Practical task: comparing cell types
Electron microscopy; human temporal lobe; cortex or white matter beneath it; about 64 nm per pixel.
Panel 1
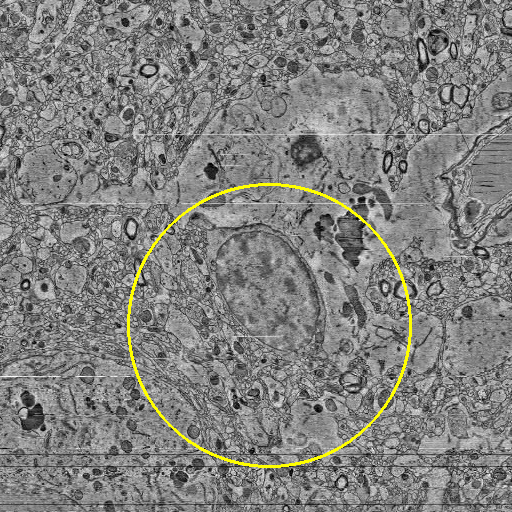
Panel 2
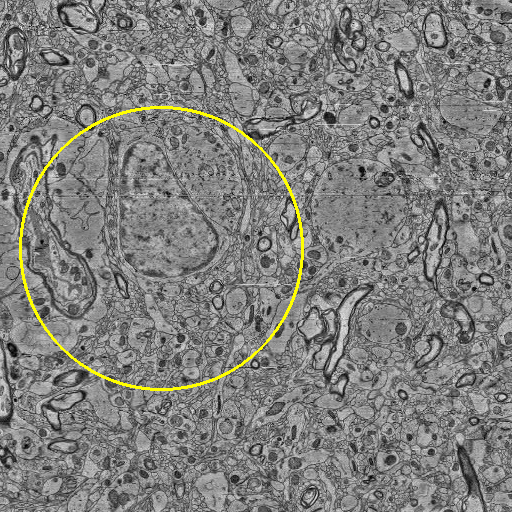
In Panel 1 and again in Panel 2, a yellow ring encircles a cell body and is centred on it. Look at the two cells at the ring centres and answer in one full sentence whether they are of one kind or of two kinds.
The two cells sitting at the ring centres of Panels 1 and 2 are of two kinds.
